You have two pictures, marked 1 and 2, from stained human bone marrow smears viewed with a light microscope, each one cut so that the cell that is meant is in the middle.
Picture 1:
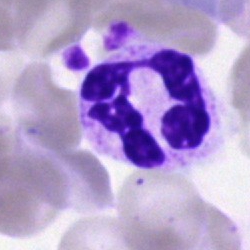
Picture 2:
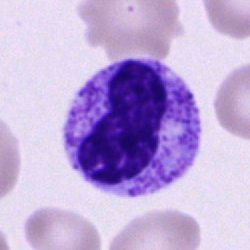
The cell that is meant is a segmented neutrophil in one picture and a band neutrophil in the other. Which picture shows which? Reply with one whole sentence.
Picture 1 is of a segmented neutrophil, and picture 2 is of a band neutrophil.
